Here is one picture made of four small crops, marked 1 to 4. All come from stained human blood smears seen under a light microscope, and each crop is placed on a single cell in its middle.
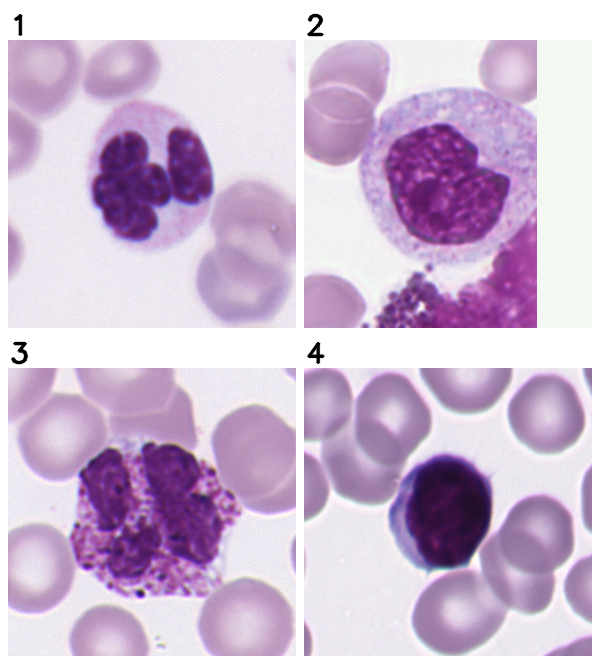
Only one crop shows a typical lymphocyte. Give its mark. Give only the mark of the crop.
4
